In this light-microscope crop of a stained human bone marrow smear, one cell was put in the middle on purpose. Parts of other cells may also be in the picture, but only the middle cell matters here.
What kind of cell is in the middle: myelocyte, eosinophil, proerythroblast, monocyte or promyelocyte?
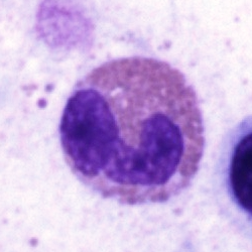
eosinophil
